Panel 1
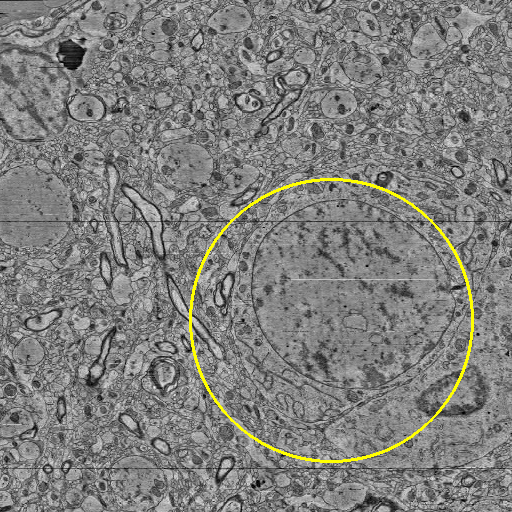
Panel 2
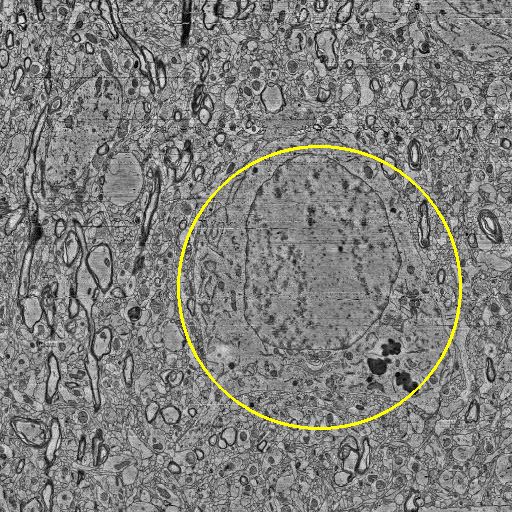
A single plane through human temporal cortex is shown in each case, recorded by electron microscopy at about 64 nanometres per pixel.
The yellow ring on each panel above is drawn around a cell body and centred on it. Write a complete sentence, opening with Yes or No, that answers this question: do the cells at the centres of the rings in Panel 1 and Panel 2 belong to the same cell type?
Yes, both cells belong to the same cell type.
